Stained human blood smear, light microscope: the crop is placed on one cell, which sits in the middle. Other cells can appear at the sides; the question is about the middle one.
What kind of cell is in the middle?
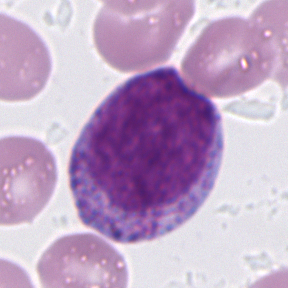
myelocyte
